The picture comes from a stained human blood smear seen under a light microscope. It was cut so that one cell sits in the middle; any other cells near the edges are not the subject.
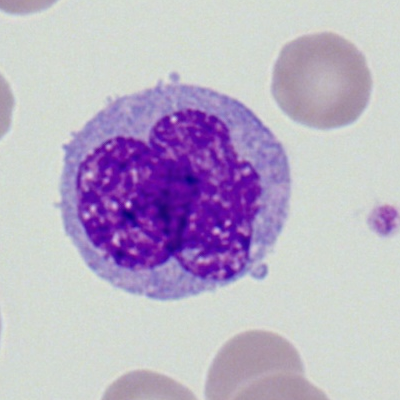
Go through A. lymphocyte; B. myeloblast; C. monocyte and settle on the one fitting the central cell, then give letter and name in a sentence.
The correct option, C, names the middle cell as a monocyte.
